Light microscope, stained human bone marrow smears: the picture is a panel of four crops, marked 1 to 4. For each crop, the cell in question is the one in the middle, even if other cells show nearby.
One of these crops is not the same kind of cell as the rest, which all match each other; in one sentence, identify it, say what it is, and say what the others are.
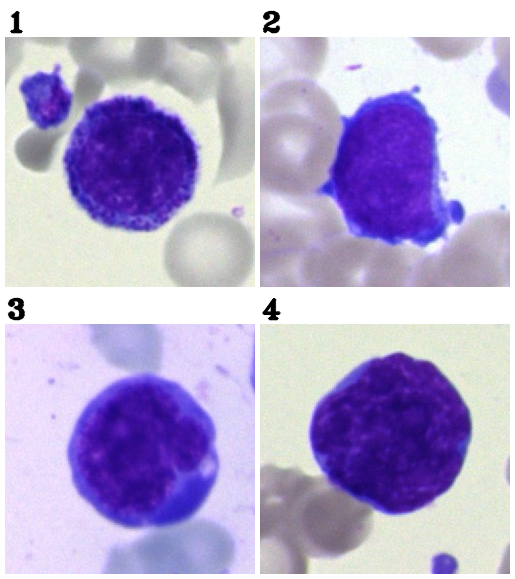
Crop 1 is the outlier, with a promyelocyte against blasts in the rest.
